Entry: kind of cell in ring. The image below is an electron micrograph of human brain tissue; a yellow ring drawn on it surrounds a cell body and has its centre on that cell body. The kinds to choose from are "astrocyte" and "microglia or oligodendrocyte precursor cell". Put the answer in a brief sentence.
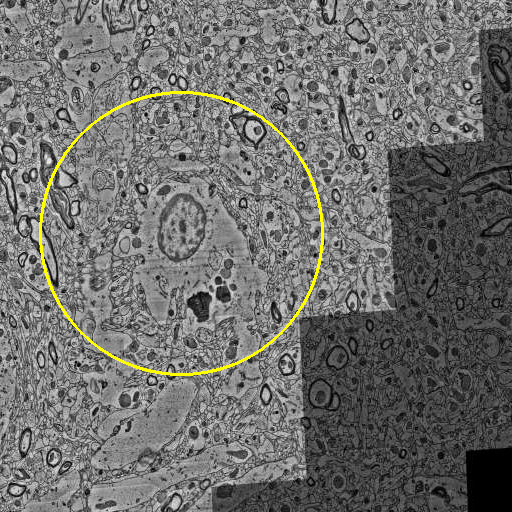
The ring has been drawn around an astrocyte.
